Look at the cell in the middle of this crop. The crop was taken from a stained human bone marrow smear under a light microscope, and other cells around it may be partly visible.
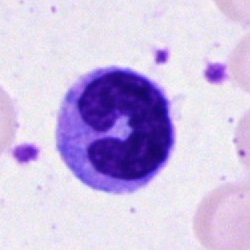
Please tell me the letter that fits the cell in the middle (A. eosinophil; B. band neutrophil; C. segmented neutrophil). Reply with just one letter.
B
